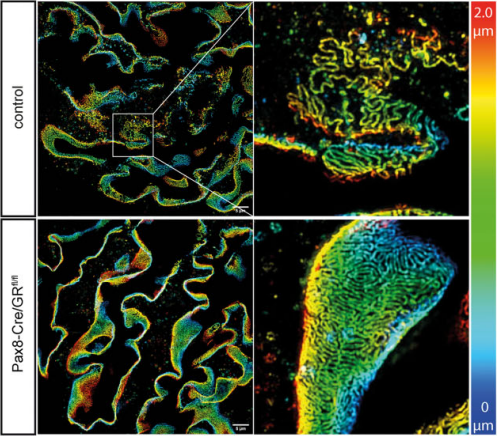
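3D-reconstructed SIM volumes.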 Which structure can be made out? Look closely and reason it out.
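Fine meandering, serpentine lines cover the surfaces of curved loops. The enlarged views show a dense, interdigitating zig-zag pattern.
Hence: slit diaphragm.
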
